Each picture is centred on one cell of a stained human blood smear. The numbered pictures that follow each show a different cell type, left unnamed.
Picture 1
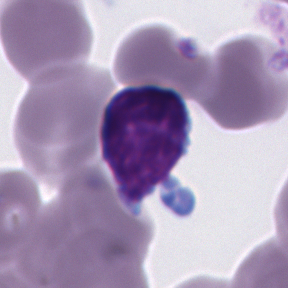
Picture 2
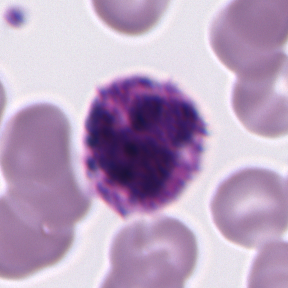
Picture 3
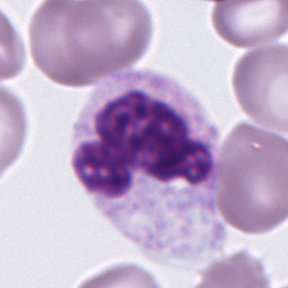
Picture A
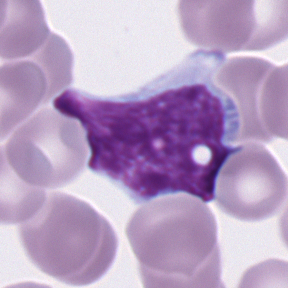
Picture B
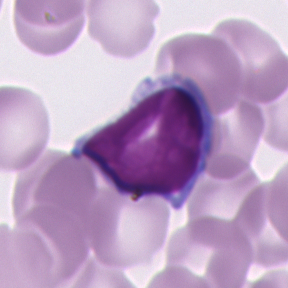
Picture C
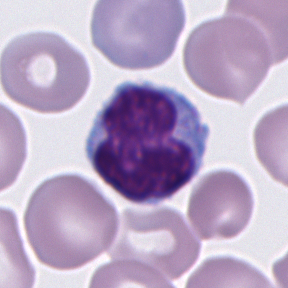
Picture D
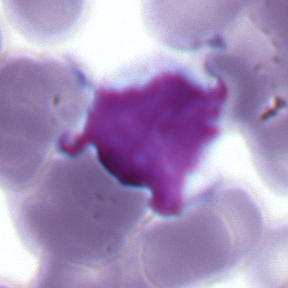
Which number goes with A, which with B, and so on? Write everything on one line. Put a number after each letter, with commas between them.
A 1, B 1, C 1, D 1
